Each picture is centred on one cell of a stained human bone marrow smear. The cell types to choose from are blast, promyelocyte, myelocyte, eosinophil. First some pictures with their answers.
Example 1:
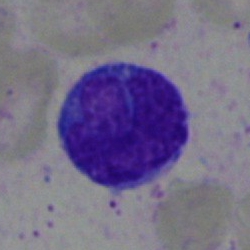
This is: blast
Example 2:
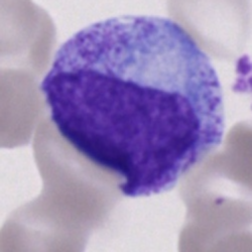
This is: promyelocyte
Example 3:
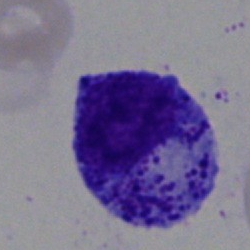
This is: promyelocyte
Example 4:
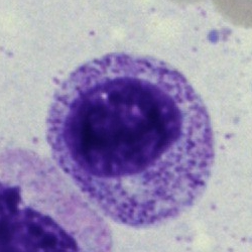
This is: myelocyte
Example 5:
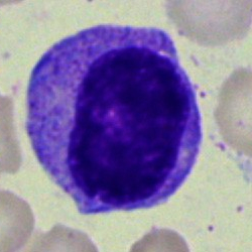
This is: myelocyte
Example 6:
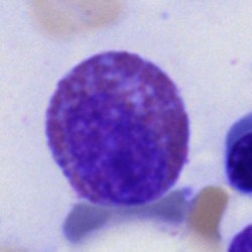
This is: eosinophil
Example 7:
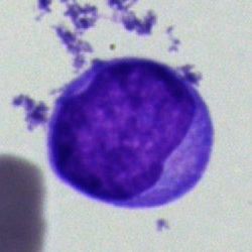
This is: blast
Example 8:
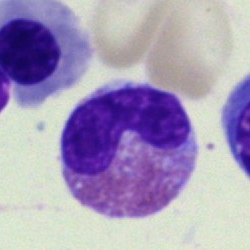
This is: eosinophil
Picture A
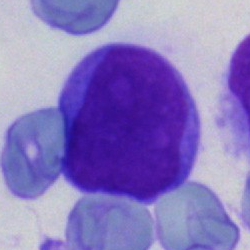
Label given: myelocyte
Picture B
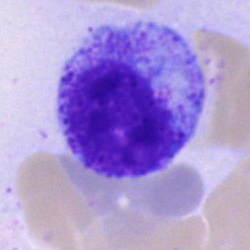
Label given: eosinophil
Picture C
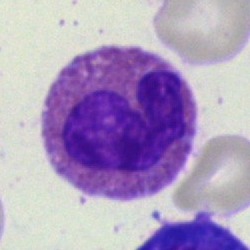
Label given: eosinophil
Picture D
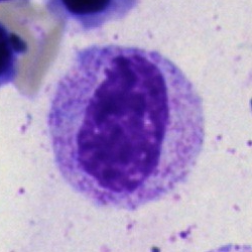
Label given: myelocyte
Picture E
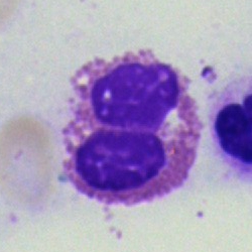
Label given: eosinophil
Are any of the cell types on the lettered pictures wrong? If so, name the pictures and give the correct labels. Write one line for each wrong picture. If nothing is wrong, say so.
A: blast, not myelocyte
B: myelocyte, not eosinophil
